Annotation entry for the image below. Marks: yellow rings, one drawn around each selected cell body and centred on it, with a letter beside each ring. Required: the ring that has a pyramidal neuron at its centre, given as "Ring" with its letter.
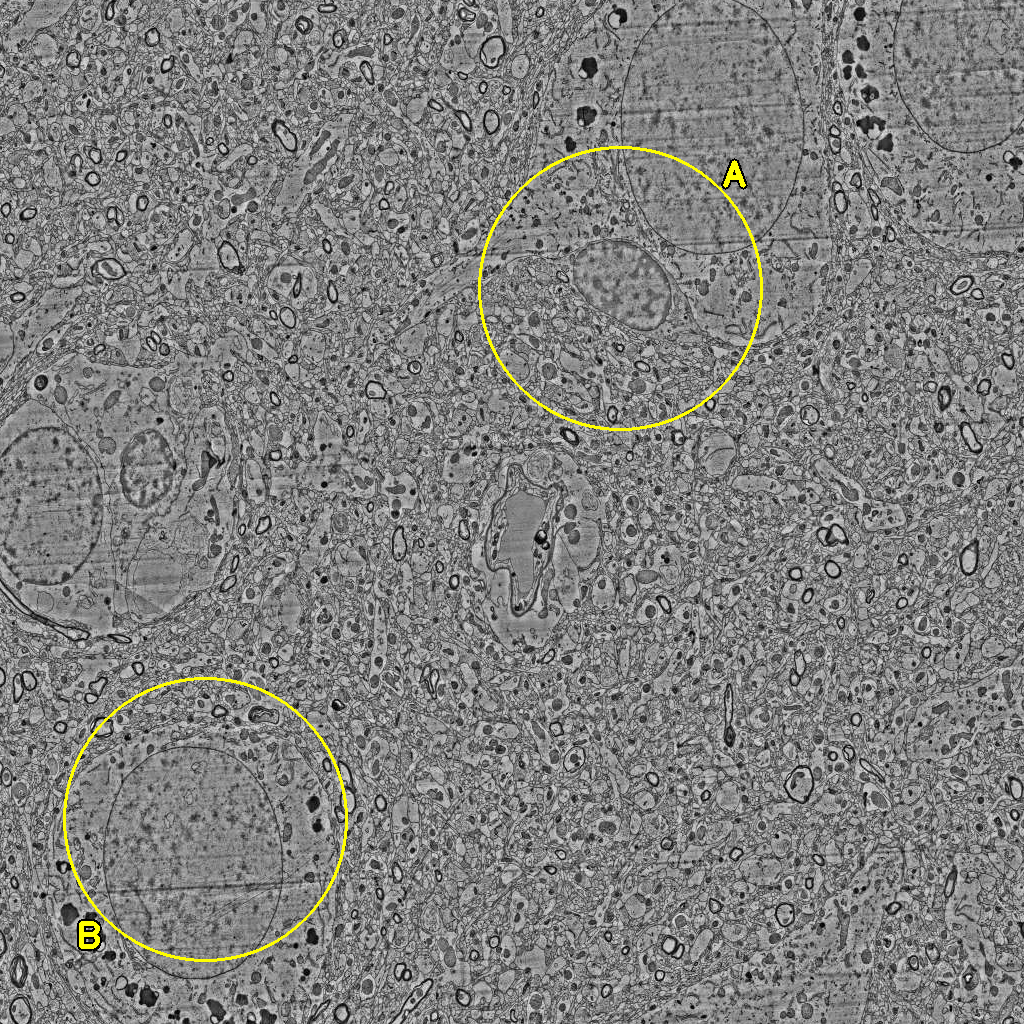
Ring B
